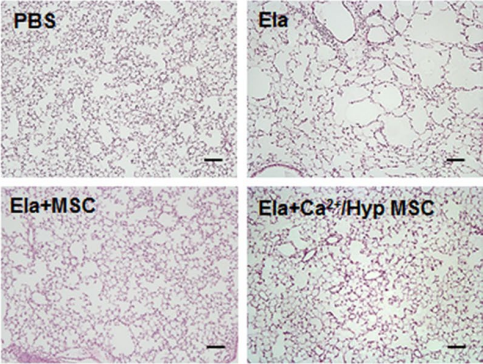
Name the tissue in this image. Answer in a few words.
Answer: Lung parenchyma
